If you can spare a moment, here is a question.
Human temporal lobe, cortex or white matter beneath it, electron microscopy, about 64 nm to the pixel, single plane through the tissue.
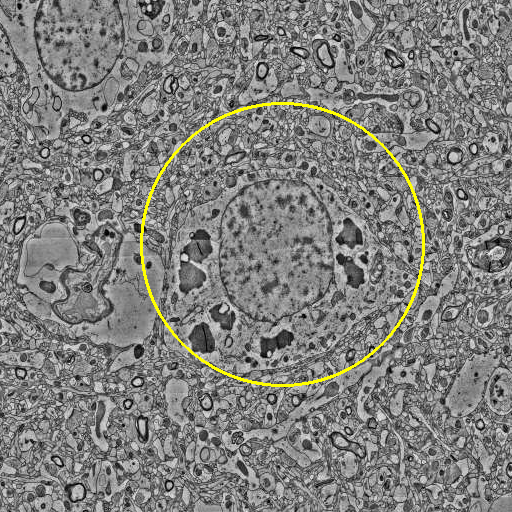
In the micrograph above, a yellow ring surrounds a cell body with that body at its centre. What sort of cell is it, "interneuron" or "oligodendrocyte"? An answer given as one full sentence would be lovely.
Centred inside the yellow ring, the cell body shown belongs to an interneuron in this micrograph.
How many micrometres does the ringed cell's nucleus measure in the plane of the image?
About 9 by 7 micrometres in this plane.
